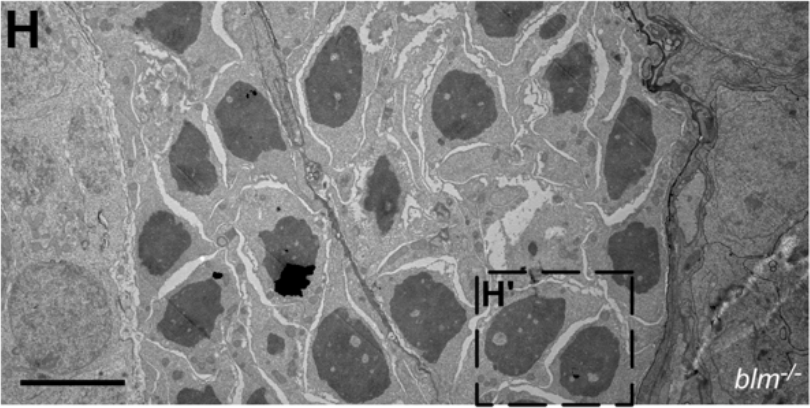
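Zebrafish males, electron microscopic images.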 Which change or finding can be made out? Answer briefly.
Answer: Aberrant morphology.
